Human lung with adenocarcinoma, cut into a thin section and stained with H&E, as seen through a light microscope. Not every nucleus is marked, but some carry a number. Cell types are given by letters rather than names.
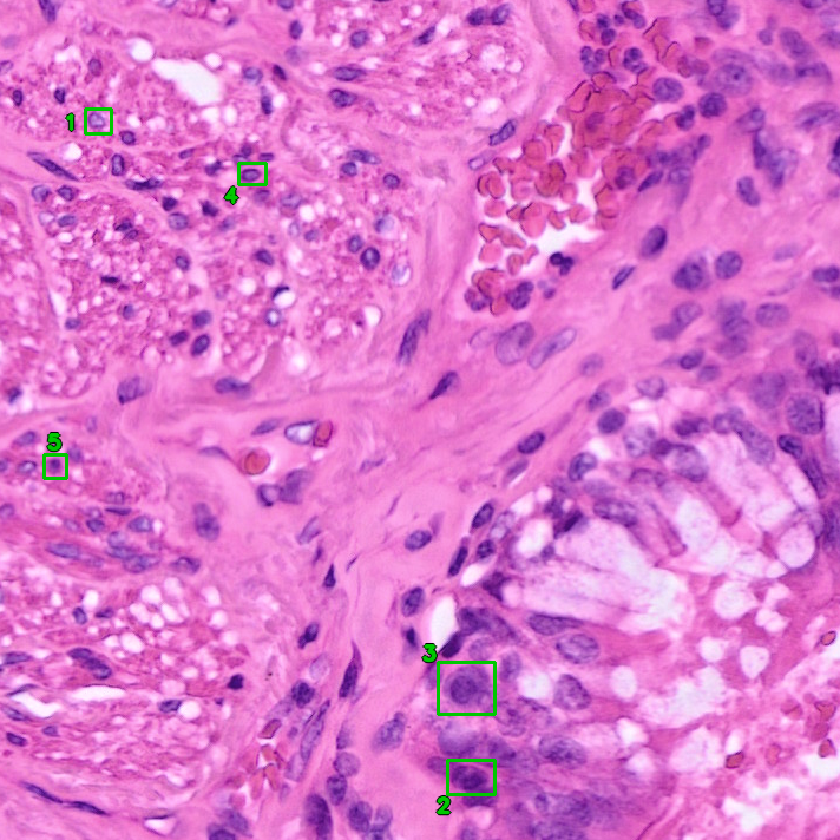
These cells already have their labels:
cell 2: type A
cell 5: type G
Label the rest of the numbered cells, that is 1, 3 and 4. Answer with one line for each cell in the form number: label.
1: type G
3: type A
4: type G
